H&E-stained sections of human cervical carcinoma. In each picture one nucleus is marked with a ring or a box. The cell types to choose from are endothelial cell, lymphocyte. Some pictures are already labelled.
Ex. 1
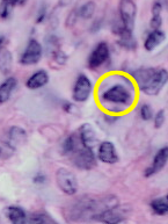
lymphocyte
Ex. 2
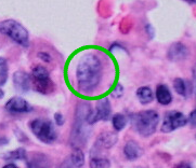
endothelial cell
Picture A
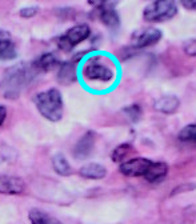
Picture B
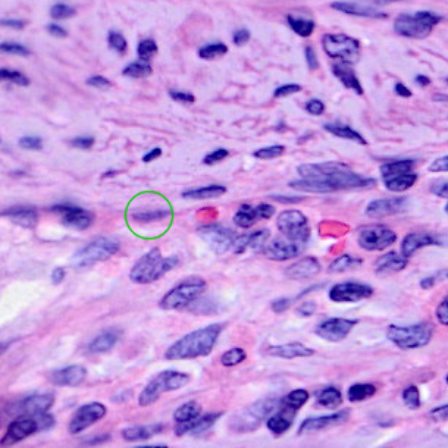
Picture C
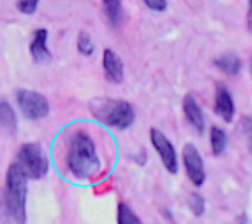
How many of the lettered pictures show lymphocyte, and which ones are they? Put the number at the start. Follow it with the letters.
1: A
